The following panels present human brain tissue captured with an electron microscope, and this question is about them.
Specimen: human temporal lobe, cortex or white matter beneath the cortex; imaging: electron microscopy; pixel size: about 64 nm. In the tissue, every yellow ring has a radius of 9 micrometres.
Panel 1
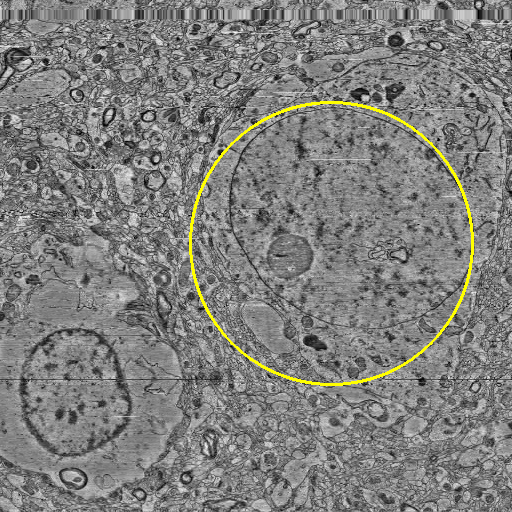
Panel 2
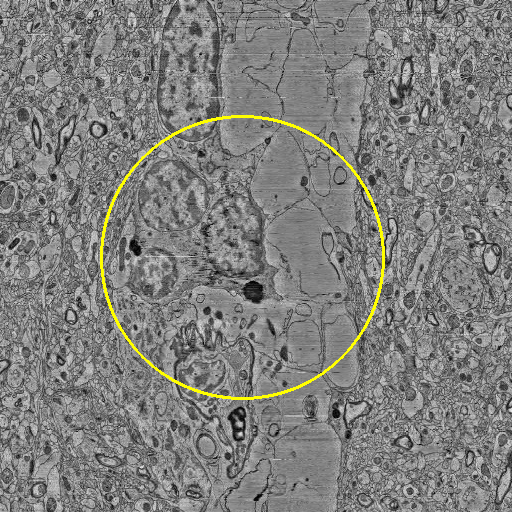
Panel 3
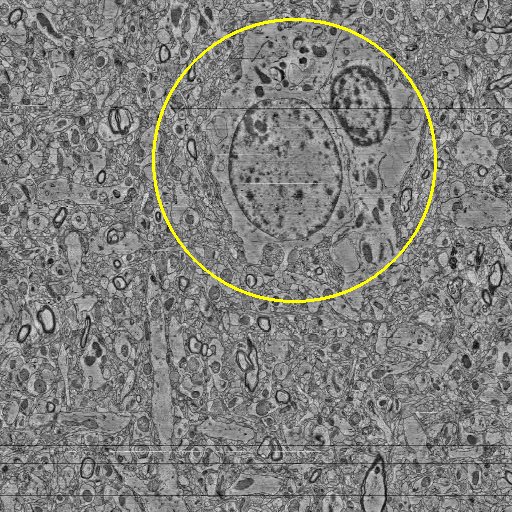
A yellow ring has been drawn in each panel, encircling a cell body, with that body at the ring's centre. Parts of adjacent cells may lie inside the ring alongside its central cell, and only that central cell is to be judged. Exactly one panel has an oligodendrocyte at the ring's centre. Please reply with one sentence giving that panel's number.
The ring whose central cell fits the description is the one in panel 2.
